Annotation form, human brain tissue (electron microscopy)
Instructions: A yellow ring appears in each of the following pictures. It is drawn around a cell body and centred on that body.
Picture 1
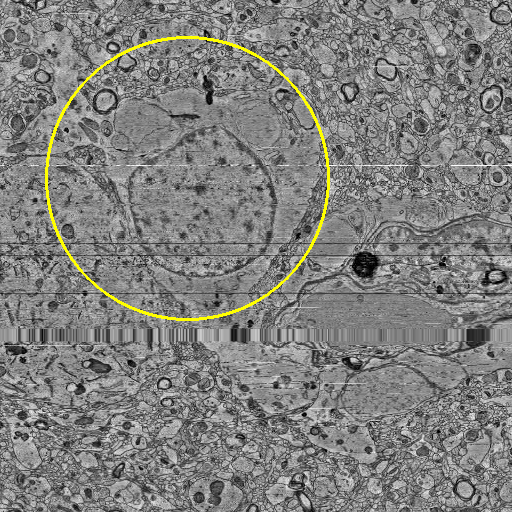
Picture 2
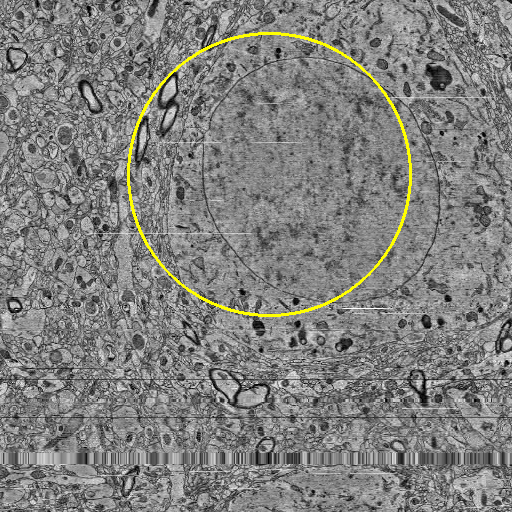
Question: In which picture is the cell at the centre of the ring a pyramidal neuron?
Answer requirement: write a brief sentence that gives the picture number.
The cell at the centre of the ring in Picture 2 is the one asked for.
